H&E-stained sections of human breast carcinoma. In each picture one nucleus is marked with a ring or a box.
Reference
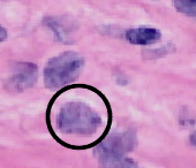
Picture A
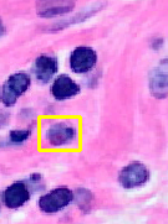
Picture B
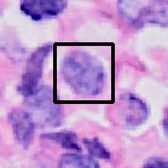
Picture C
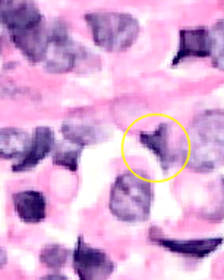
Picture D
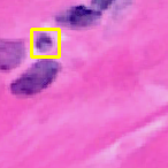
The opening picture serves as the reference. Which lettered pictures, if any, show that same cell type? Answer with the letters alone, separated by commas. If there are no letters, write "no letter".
B, C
